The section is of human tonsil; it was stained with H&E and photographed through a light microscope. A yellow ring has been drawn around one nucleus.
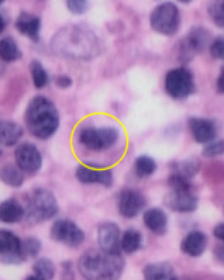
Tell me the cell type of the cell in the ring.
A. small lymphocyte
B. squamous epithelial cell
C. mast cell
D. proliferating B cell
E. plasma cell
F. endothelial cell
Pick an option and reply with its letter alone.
D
